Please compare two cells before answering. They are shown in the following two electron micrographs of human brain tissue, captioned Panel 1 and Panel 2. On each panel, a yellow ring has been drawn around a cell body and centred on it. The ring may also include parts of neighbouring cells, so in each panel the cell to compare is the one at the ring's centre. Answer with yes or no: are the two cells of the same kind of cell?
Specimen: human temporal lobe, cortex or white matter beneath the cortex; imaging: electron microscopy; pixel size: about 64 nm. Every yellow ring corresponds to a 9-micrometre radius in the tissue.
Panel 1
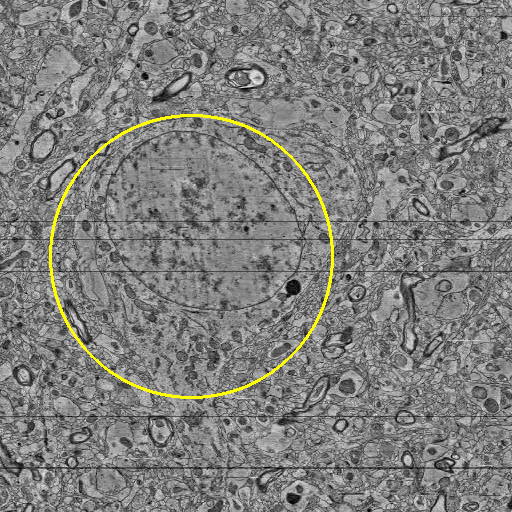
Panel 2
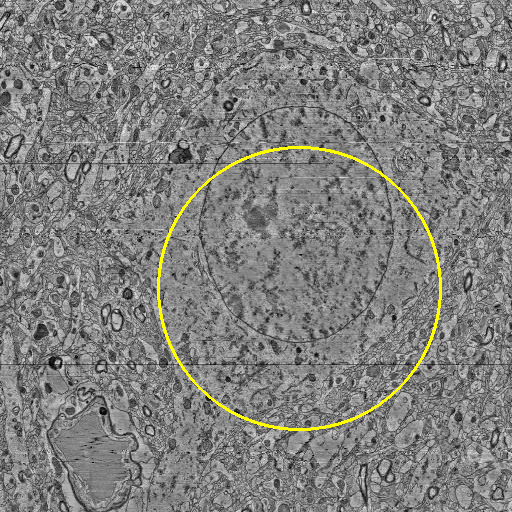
yes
